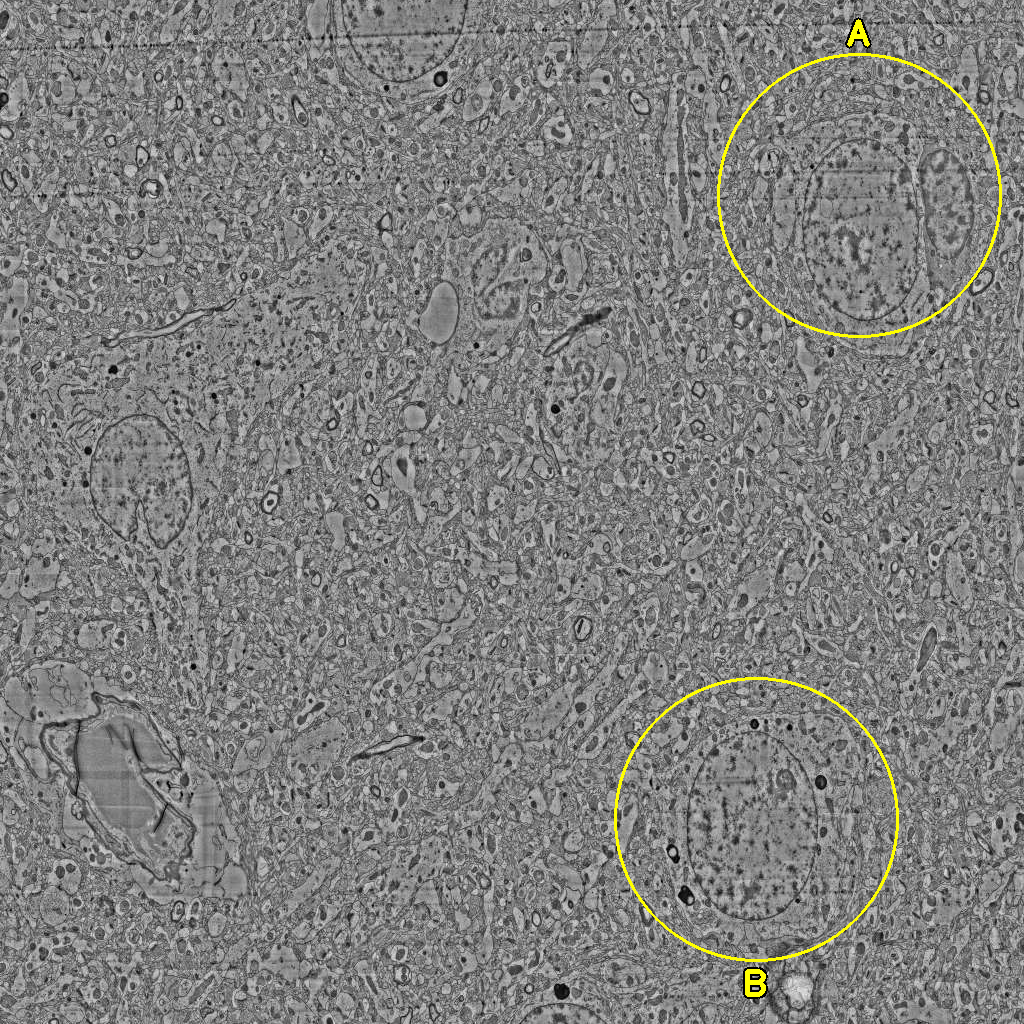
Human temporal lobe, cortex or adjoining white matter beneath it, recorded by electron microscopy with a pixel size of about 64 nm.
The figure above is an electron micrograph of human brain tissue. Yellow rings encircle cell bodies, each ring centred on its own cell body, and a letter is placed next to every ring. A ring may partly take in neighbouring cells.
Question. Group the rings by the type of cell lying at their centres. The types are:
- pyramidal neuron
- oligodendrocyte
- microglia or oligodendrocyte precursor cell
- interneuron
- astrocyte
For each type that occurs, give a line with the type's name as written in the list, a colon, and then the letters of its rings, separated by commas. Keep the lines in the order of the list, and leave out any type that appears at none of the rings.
pyramidal neuron: A, B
